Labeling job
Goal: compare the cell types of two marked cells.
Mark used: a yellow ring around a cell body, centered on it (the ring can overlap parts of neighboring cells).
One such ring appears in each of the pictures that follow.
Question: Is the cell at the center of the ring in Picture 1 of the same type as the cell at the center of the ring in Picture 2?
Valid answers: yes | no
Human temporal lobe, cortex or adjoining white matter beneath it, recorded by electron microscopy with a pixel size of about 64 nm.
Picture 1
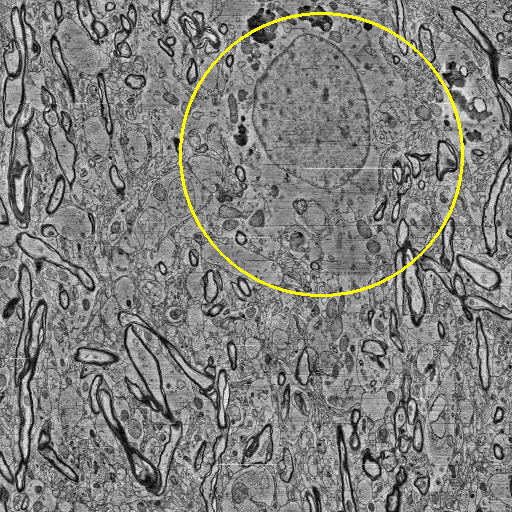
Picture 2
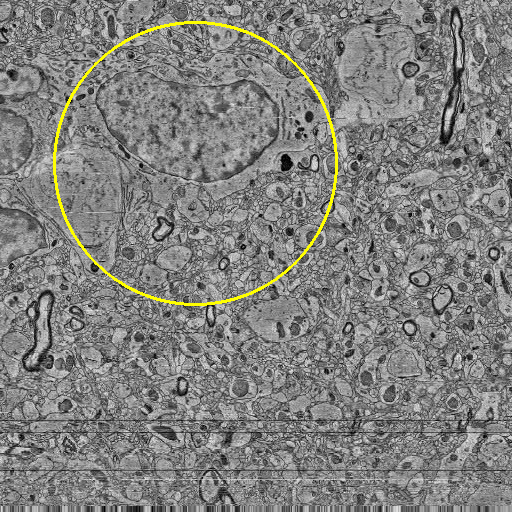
no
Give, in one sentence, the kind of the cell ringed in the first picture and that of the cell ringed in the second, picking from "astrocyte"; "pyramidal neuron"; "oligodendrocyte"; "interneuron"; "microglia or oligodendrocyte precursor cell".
For the first picture it is an astrocyte; for the second, a microglial cell or oligodendrocyte precursor cell.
